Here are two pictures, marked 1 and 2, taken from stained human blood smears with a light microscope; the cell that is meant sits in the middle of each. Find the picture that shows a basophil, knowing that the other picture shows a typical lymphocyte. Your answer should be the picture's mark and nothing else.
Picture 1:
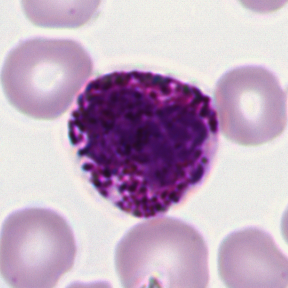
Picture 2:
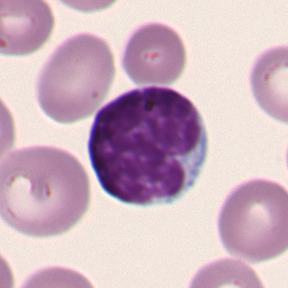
1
